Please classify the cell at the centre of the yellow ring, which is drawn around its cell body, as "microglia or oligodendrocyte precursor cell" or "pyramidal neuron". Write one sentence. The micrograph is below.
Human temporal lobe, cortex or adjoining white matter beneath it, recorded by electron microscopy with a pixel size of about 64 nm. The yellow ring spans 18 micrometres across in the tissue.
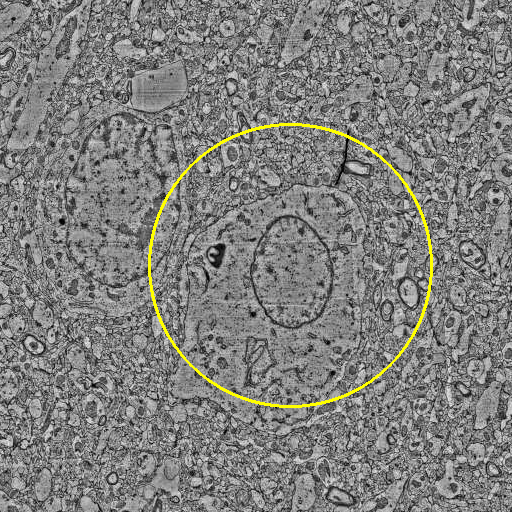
The cell at the ring's centre is classified as a pyramidal neuron.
